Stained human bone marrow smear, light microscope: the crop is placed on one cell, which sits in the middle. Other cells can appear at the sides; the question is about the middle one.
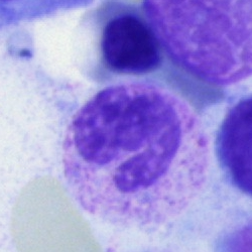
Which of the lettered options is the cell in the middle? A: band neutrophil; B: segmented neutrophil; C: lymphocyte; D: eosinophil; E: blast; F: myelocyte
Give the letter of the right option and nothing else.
B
